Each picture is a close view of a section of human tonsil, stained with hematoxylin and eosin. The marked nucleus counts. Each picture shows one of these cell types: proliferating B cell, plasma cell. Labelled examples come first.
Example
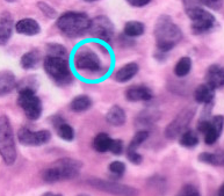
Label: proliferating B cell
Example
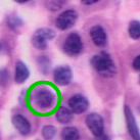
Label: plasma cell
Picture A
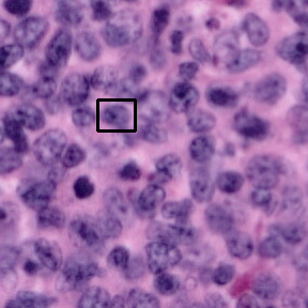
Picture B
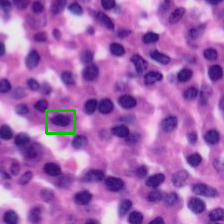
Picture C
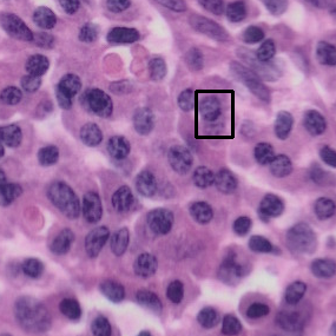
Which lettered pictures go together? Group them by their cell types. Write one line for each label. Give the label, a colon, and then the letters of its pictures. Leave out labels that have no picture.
proliferating B cell: A
plasma cell: B, C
